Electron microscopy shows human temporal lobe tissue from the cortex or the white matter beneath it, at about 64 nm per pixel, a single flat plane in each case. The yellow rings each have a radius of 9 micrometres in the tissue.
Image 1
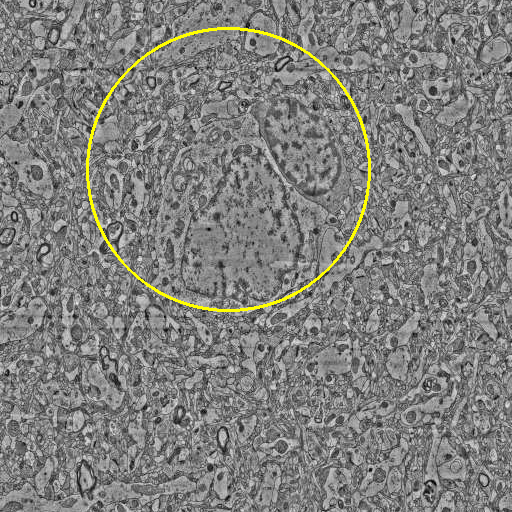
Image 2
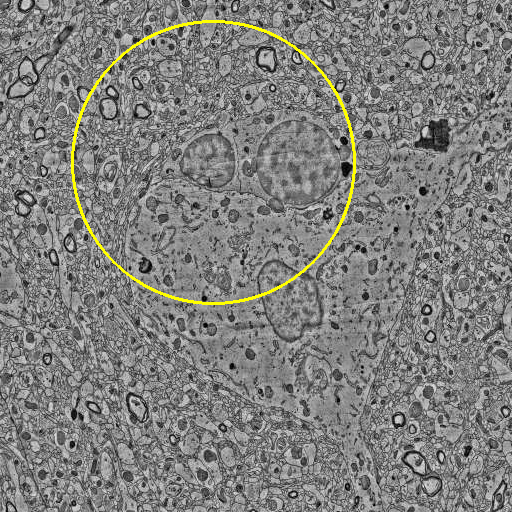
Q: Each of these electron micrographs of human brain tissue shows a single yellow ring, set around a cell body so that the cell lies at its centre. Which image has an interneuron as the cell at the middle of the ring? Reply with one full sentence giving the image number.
In image 1, the cell lying at the ring's centre is the requested one.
